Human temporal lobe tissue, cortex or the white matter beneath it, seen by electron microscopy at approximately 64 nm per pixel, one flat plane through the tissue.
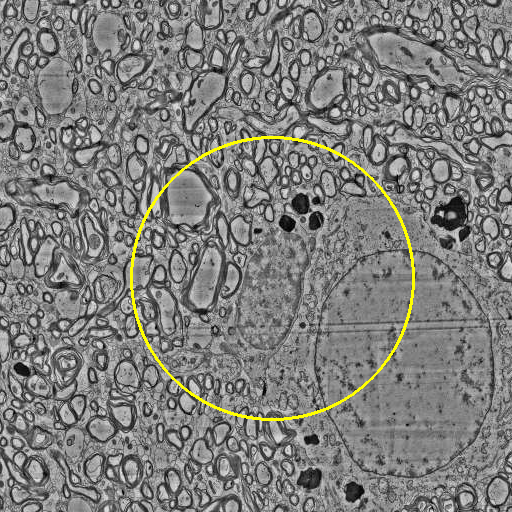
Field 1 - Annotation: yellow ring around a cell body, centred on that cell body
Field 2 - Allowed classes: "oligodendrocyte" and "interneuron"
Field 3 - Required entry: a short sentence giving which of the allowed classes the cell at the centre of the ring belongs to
The centred cell is an oligodendrocyte.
